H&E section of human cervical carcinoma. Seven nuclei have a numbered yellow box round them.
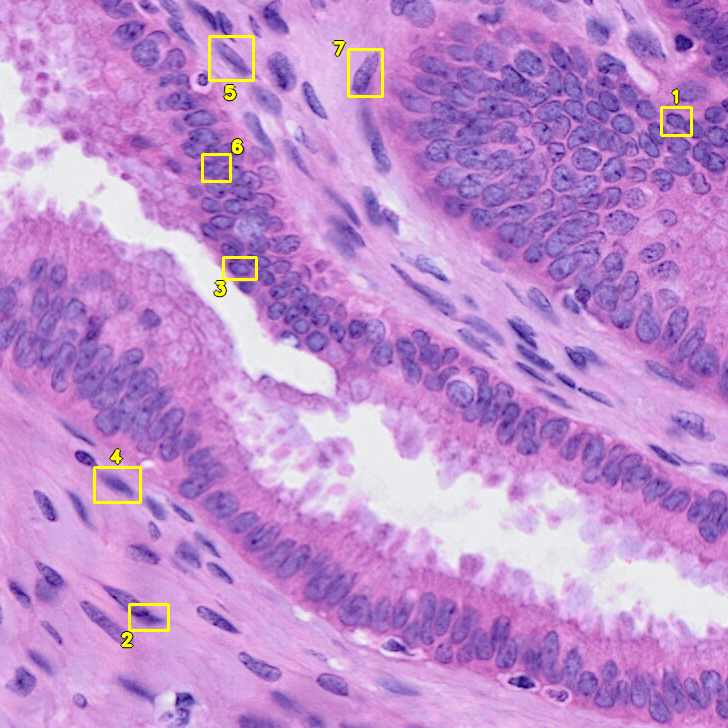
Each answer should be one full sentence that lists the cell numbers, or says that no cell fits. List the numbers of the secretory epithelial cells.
Marked by the numbers 1, 3 and 6 are cells that are secretory epithelial cells.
